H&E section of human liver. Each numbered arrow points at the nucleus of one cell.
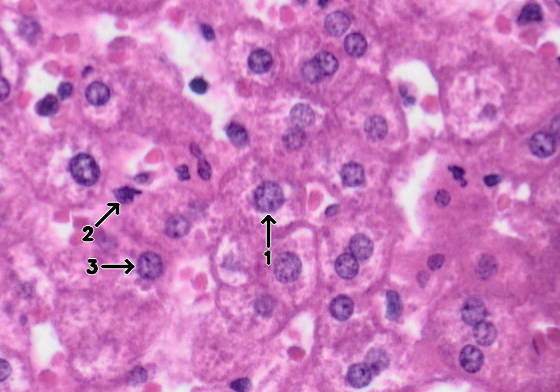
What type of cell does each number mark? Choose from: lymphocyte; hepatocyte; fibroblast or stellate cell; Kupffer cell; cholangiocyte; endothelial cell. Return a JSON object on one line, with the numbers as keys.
{"1": "hepatocyte", "2": "fibroblast or stellate cell", "3": "hepatocyte"}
